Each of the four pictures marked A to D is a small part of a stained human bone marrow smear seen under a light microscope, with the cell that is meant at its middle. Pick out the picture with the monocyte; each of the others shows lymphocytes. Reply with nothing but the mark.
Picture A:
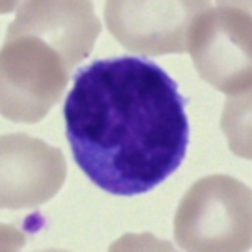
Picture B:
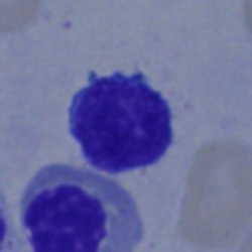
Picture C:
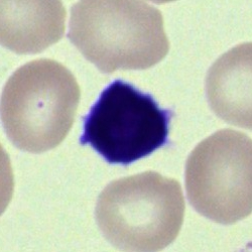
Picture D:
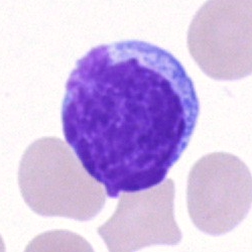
A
